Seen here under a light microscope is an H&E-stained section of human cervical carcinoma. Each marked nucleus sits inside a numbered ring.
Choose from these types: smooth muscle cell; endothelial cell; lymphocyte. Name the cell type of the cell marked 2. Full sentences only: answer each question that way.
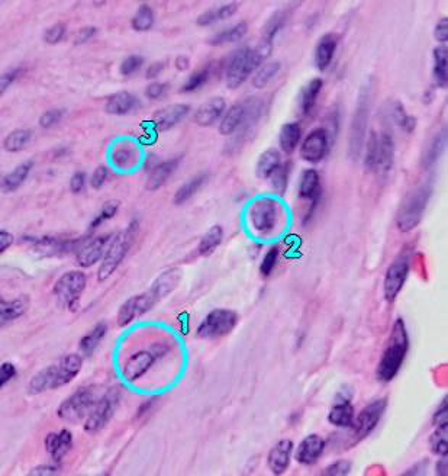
The cell identified by number 2 is a lymphocyte.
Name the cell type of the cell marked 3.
The cell marked with the number 3 is a smooth muscle cell.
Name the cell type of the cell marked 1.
Here, the cell given the number 1 is an endothelial cell.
